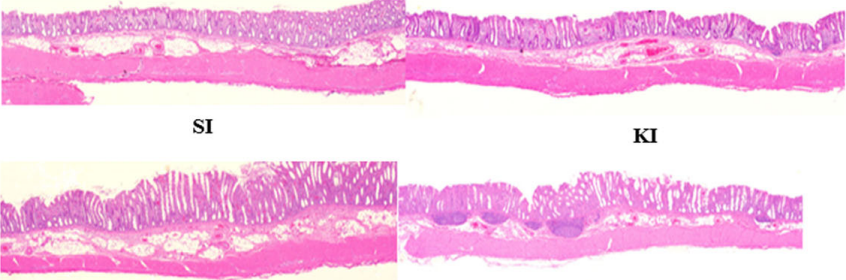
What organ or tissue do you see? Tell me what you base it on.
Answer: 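Mucosa made of straight, closely packed tubular crypts with no villi. Pale loose layer beneath the mucosa. Pink muscular layer at the base.
Answer: colon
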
